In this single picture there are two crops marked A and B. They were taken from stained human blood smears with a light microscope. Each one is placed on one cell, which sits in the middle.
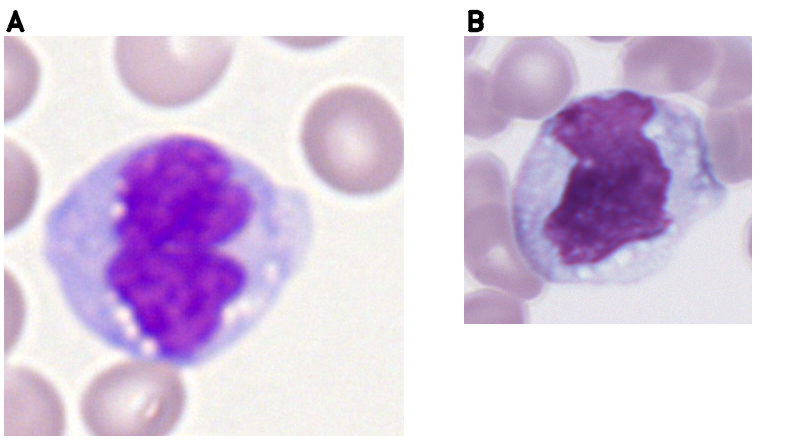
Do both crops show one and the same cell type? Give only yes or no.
yes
